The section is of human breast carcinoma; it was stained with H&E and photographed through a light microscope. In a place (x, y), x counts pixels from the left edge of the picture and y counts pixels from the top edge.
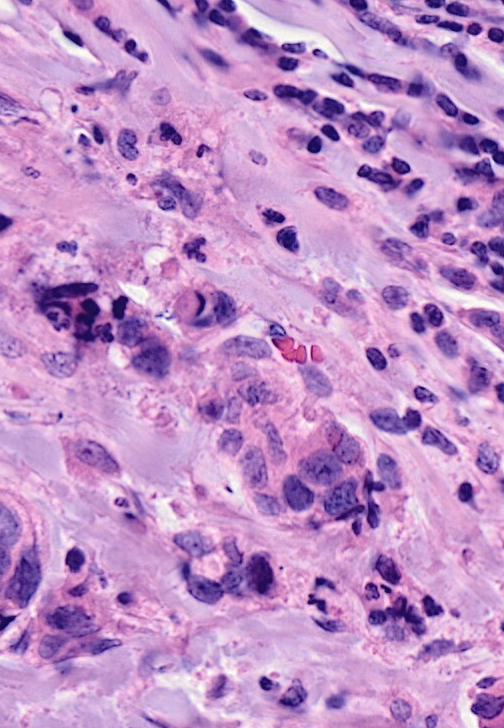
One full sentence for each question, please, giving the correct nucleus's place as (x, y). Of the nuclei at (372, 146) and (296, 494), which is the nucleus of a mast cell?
Of the two nuclei, it is the one at (372, 146) that lies within a mast cell.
